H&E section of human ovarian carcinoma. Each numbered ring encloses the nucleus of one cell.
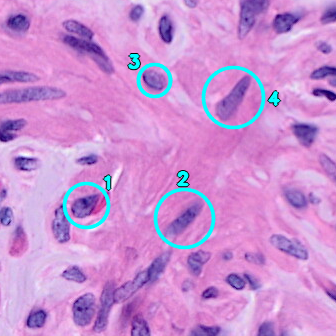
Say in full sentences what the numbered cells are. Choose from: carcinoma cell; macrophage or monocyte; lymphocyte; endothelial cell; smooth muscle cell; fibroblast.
Cell 1 is an endothelial cell, cell 2 is a smooth muscle cell, cell 3 is a smooth muscle cell and cell 4 is a smooth muscle cell.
